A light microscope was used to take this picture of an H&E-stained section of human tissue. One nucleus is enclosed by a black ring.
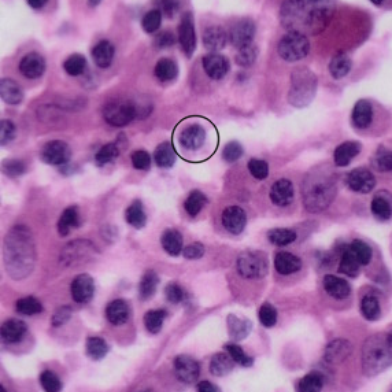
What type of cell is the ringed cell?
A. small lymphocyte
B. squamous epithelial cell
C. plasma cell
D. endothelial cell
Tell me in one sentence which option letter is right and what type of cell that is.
According to option C, the ringed cell is a plasma cell, and this is correct.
